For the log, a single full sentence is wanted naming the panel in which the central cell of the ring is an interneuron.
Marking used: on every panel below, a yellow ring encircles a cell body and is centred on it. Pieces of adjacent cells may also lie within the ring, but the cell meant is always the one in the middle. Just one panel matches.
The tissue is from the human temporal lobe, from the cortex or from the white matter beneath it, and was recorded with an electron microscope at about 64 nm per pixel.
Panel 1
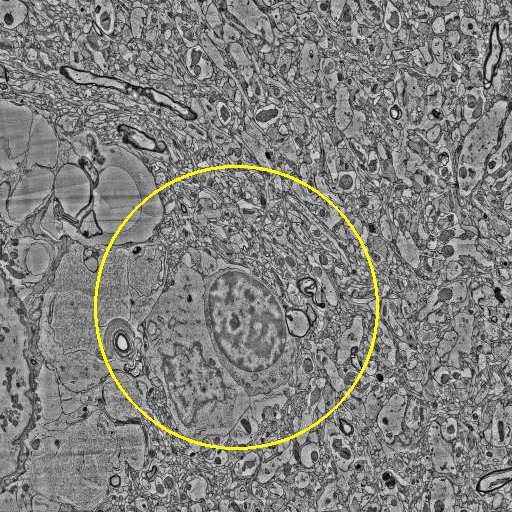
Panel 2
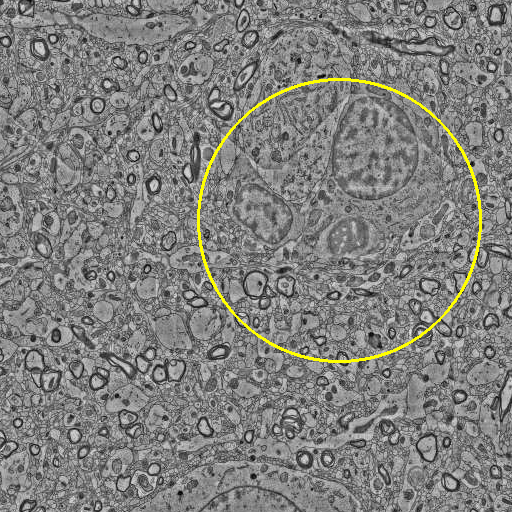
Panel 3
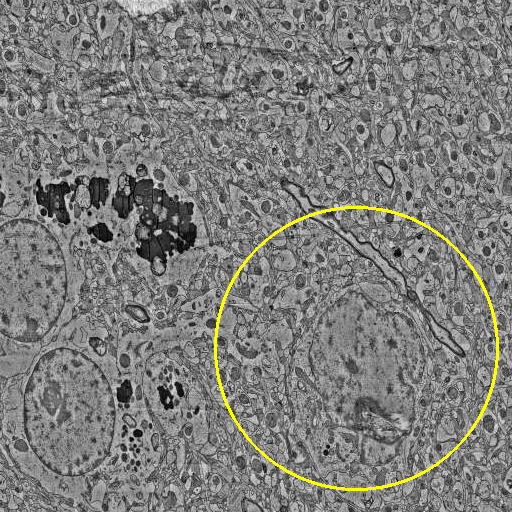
The cell in the middle of the ring in panel 3 is the one asked for.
